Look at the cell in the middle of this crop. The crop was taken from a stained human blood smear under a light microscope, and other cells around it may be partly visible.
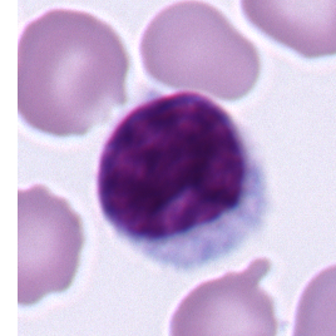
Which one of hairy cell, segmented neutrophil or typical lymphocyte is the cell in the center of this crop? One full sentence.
The cell that lies at the centre of the crop is a hairy cell.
